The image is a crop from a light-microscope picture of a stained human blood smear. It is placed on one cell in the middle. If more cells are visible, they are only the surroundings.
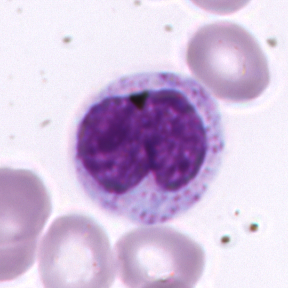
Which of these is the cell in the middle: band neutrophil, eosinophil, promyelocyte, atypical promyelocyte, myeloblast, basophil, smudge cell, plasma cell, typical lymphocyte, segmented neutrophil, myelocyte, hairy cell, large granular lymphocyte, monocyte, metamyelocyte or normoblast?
metamyelocyte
